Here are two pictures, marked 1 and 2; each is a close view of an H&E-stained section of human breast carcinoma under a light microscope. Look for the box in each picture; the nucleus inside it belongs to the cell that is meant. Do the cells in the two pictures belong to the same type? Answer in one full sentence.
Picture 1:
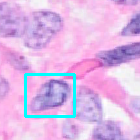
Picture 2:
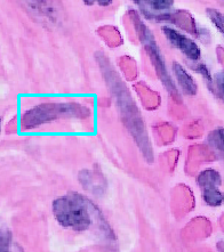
Yes; the cells in both pictures are endothelial cells.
